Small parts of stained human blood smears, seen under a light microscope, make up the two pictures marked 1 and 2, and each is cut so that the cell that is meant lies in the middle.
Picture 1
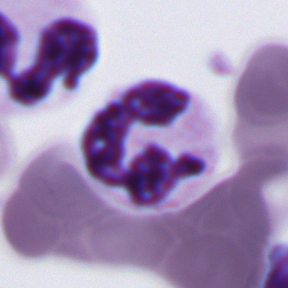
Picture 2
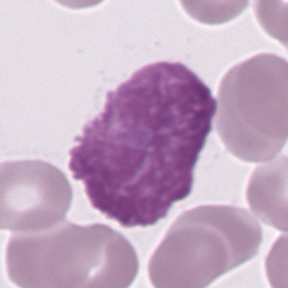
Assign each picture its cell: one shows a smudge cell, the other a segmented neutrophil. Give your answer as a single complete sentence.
Picture 2 shows a smudge cell, while picture 1 shows a segmented neutrophil.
